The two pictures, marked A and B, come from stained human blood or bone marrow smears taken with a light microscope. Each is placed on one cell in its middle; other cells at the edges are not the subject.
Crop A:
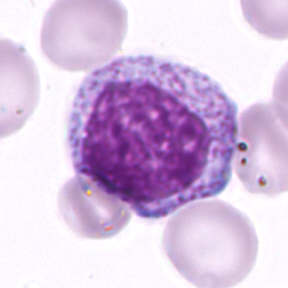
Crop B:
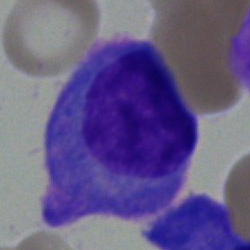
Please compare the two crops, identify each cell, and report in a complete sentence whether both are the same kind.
No, crop A shows a myelocyte, whereas a plasma cell is what crop B shows.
